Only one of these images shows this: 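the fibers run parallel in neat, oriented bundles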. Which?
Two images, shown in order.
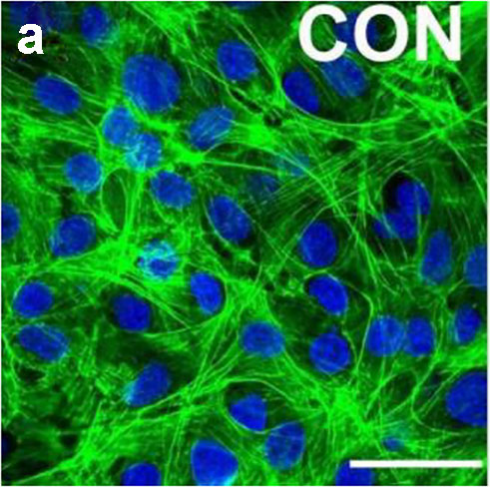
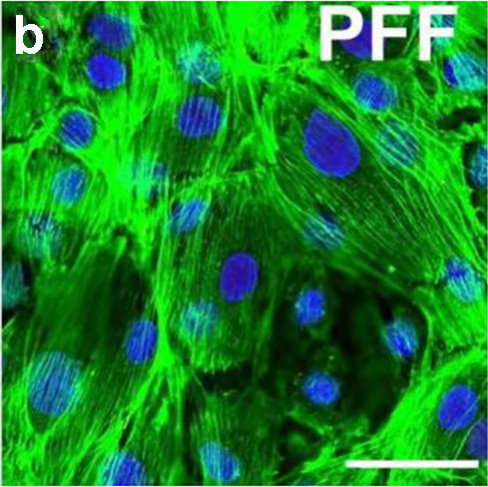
the second image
